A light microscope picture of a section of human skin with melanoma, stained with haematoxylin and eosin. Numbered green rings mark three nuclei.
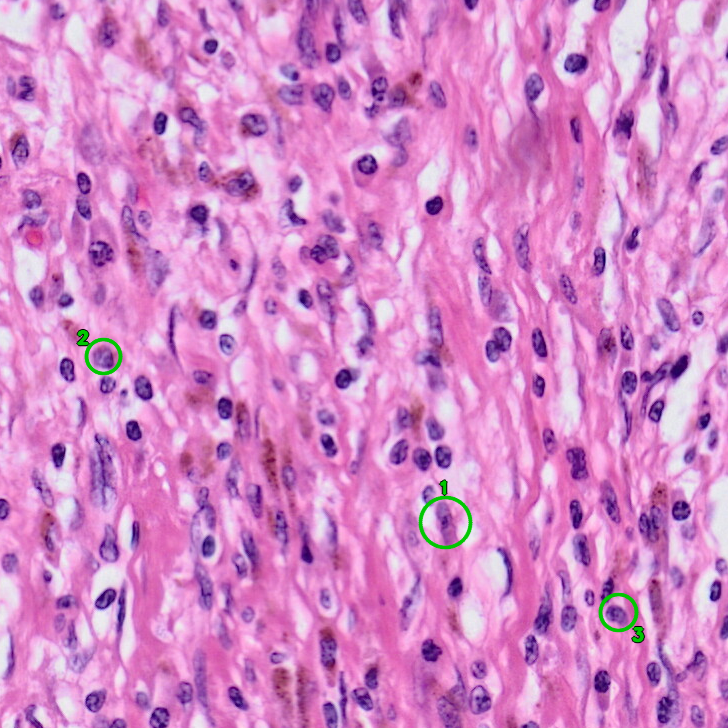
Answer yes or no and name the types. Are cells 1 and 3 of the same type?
No, cell 1 is a macrophage or monocyte, while a lymphocyte is what cell 3 is.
